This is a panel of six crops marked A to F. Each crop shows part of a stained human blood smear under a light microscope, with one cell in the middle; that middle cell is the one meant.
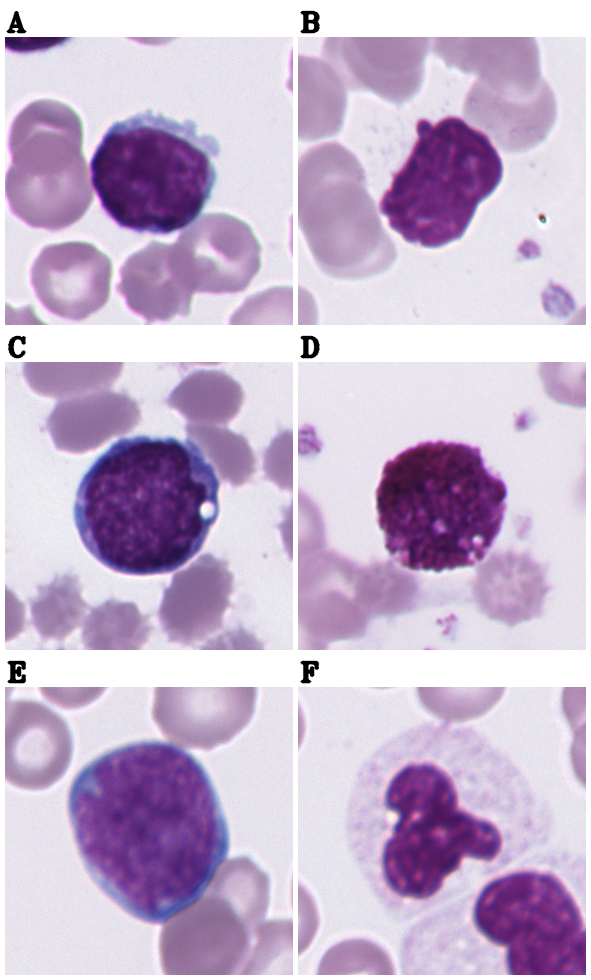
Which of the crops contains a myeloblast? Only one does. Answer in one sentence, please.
Selected crop: E, which is the one that shows a myeloblast.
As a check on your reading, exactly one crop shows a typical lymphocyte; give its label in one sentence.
Crop A is the crop that shows a typical lymphocyte in its middle.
